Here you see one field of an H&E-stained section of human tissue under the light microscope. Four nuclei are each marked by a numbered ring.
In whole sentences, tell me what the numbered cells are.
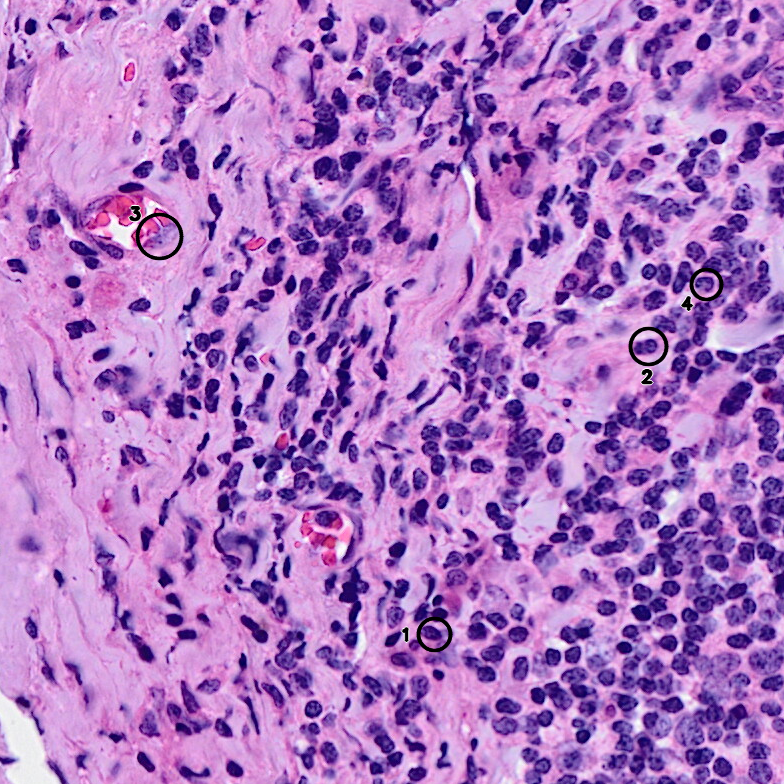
Cell 1 is a lymphocyte, cell 2 is a lymphocyte, cell 3 is an endothelial cell and cell 4 is a lymphocyte.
